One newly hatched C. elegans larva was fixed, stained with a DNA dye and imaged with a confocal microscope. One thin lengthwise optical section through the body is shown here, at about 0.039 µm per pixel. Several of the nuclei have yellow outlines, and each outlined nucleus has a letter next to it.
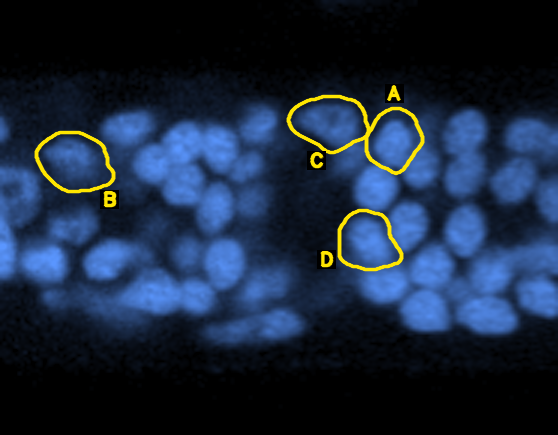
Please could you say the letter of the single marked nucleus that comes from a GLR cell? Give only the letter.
D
